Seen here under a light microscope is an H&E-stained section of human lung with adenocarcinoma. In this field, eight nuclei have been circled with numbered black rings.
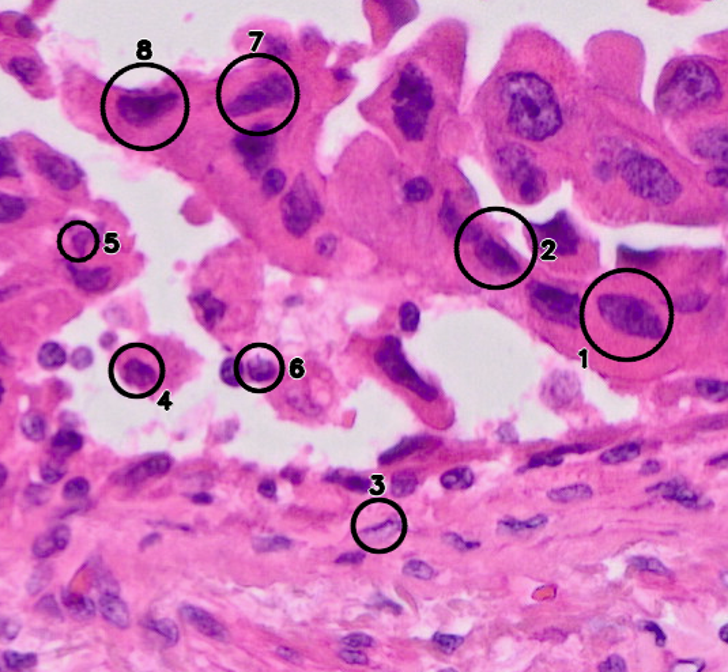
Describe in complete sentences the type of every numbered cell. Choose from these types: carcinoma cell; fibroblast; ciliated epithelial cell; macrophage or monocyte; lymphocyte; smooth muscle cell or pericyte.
Cell 1 is a carcinoma cell, cell 2 is a carcinoma cell, cell 3 is a fibroblast, cell 4 is a macrophage or monocyte, cell 5 is a carcinoma cell, cell 6 is a lymphocyte, cell 7 is a carcinoma cell and cell 8 is a carcinoma cell.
